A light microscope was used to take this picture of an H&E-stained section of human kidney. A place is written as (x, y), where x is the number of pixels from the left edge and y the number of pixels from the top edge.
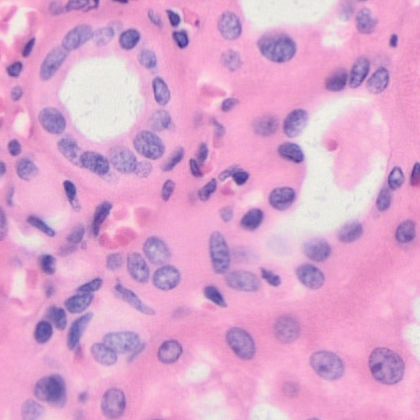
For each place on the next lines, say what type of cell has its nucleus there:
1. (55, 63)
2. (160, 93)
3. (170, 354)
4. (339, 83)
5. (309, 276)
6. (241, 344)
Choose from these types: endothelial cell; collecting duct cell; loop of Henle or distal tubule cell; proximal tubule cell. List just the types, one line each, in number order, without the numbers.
collecting duct cell
collecting duct cell
proximal tubule cell
collecting duct cell
collecting duct cell
proximal tubule cell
